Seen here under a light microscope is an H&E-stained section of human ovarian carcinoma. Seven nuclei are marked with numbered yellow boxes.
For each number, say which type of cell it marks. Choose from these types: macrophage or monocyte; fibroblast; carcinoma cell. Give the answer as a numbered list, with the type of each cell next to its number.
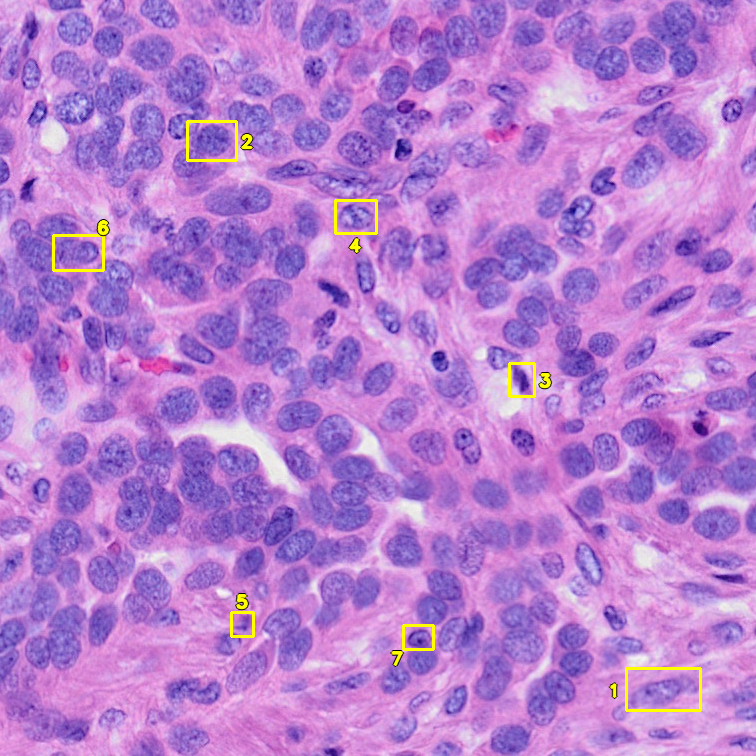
1. fibroblast
2. carcinoma cell
3. fibroblast
4. fibroblast
5. fibroblast
6. carcinoma cell
7. macrophage or monocyte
